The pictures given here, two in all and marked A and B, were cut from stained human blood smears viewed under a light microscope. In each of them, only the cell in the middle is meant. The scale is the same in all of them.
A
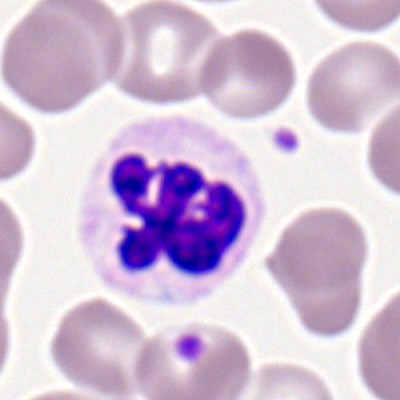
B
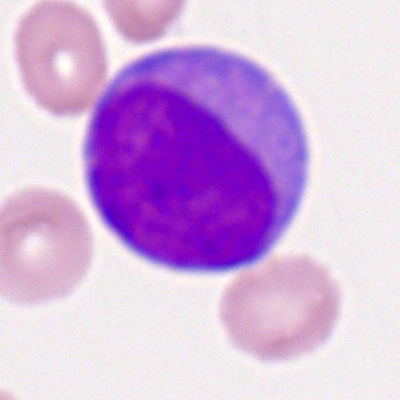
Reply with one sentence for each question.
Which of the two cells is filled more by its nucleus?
It is the cell in picture B that is filled more by its nucleus.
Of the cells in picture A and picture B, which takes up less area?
The cell in picture A is smaller; the one in picture B has about 1.5 times its area.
